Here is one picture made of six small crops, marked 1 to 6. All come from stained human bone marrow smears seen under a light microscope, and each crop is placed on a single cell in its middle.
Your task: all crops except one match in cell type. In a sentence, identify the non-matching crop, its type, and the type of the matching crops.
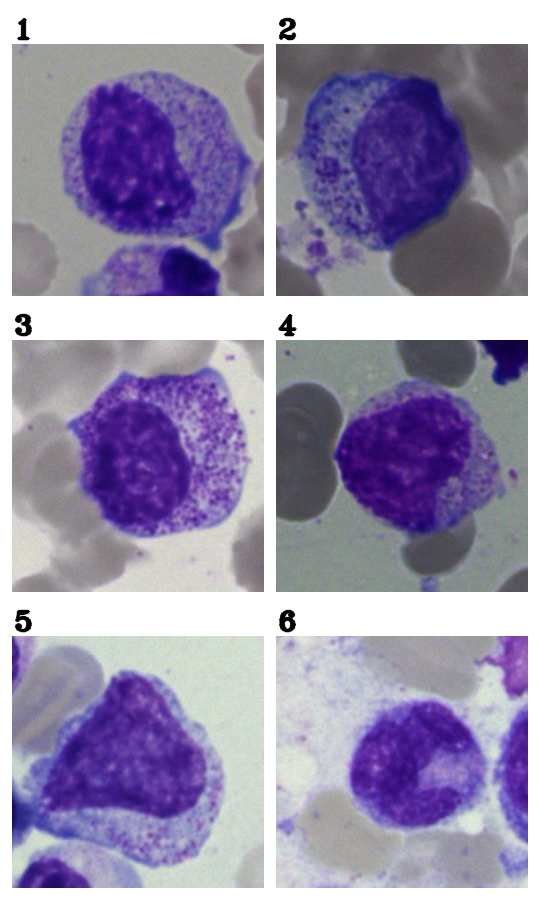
Where the others show myelocytes, crop 6 shows a monocyte.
